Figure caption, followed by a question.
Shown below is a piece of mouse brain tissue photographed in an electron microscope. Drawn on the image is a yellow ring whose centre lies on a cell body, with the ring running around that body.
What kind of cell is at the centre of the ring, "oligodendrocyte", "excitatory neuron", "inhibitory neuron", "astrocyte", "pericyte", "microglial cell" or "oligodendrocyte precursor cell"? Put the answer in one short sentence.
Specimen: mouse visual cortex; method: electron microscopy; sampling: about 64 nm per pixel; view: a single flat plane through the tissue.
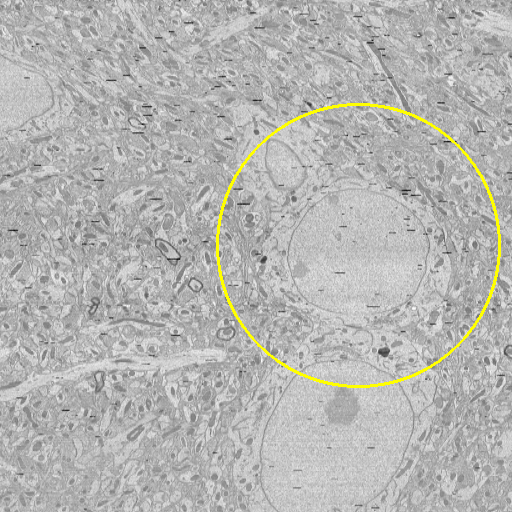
The ring marks the cell body of an excitatory neuron.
